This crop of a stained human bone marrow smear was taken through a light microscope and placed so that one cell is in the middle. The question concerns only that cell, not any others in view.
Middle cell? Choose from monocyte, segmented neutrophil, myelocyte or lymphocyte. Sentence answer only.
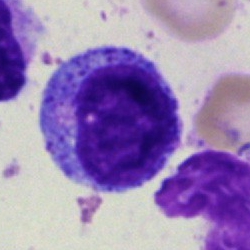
The cell found in the middle of this crop is a myelocyte.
